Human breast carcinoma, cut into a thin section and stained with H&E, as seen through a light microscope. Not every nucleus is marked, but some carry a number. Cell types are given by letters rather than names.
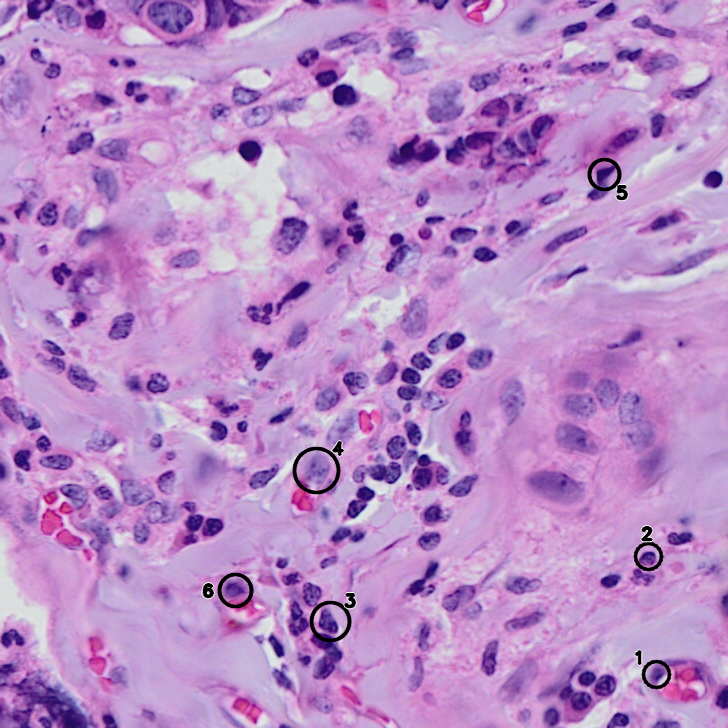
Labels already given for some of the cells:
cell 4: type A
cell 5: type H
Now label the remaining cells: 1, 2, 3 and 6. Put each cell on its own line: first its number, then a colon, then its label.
1: type A
2: type H
3: type H
6: type A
